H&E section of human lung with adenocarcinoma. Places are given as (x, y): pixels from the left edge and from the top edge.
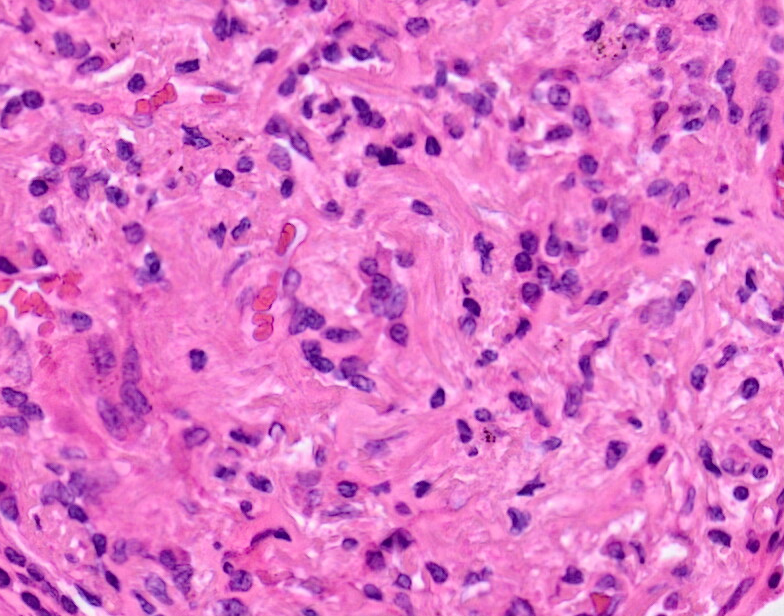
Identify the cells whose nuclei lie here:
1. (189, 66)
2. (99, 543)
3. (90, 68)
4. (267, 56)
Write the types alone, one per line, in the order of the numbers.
lymphocyte
lymphocyte
plasma cell
lymphocyte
